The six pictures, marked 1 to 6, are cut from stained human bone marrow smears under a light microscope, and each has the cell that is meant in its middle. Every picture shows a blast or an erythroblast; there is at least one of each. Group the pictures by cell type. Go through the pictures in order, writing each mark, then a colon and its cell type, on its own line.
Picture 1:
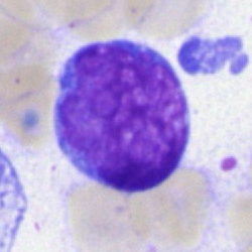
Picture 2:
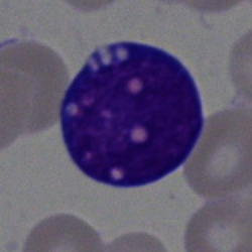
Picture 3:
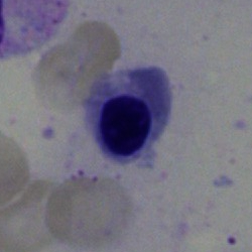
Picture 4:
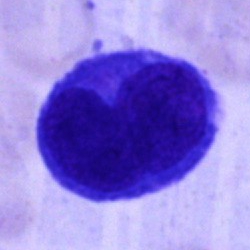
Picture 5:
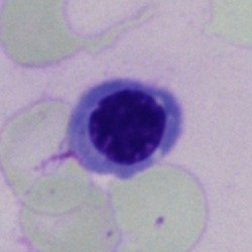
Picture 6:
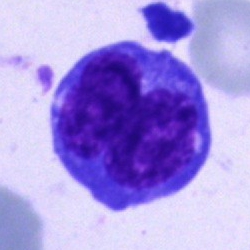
1: blast
2: blast
3: erythroblast
4: blast
5: erythroblast
6: blast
